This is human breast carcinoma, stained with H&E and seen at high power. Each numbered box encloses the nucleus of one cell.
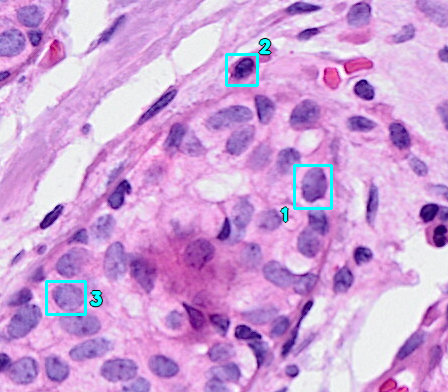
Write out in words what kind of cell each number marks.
Cell 1 is a carcinoma cell, cell 2 is a mast cell and cell 3 is a carcinoma cell.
